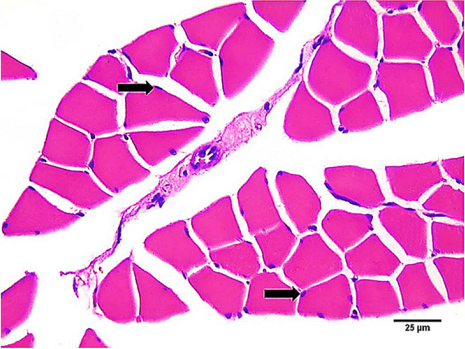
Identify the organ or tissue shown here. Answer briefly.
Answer: Muscle fibers.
